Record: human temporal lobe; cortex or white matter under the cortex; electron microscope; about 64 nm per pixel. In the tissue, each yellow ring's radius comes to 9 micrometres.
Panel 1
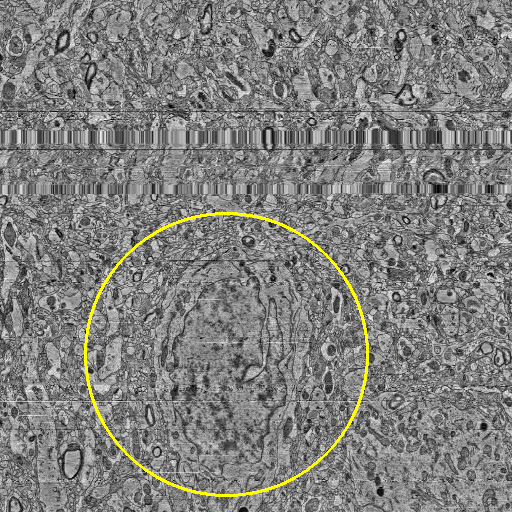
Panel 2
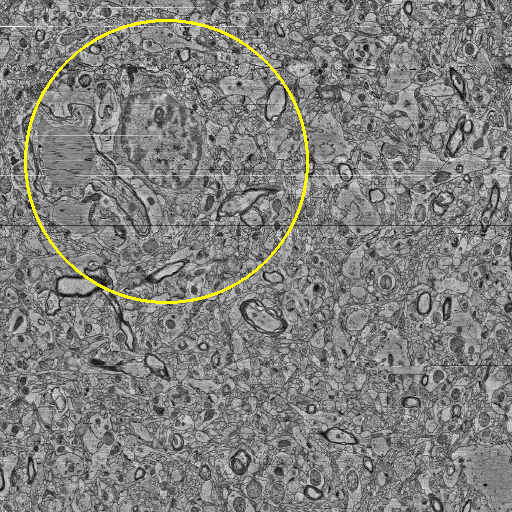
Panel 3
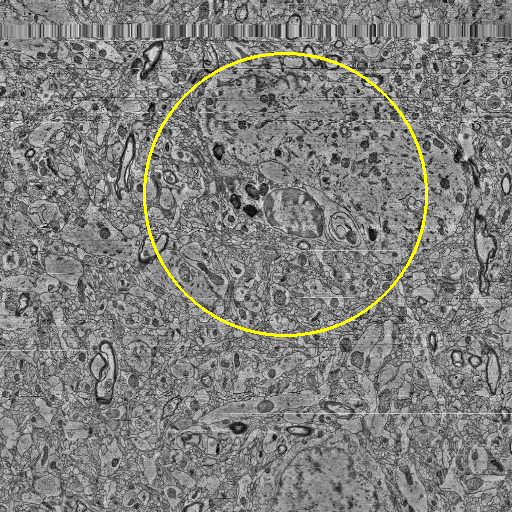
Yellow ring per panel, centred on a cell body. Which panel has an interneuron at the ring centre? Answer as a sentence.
Panel 1 shows it at the ring centre.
